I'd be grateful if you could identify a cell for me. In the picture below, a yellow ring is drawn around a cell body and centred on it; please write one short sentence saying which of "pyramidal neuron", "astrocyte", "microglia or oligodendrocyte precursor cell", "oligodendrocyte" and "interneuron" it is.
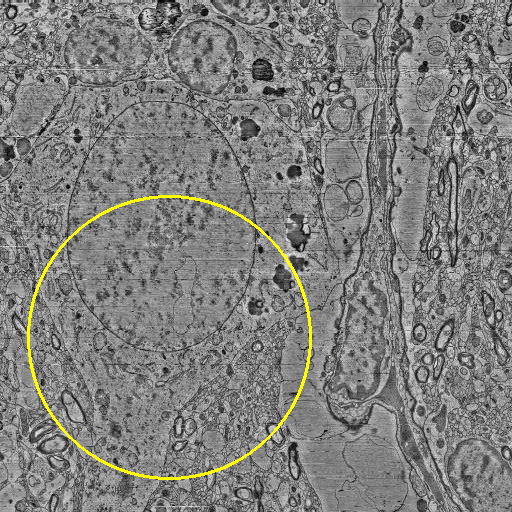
The cell under the ring's centre is a pyramidal neuron.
